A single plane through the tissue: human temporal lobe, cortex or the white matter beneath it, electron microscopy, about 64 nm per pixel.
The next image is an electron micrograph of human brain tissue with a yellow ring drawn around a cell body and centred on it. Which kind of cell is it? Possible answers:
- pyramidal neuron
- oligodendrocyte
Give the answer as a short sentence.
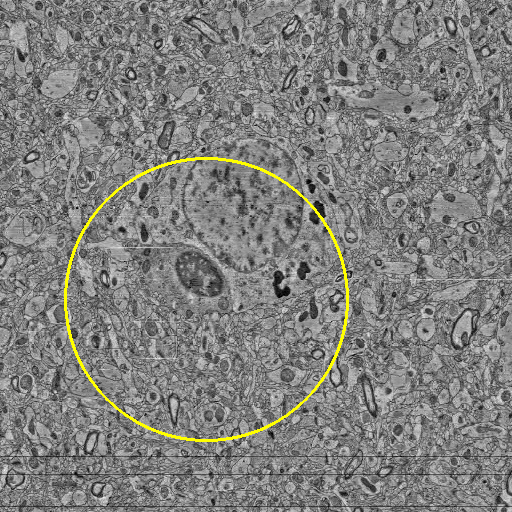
In the ring's centre is an oligodendrocyte.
